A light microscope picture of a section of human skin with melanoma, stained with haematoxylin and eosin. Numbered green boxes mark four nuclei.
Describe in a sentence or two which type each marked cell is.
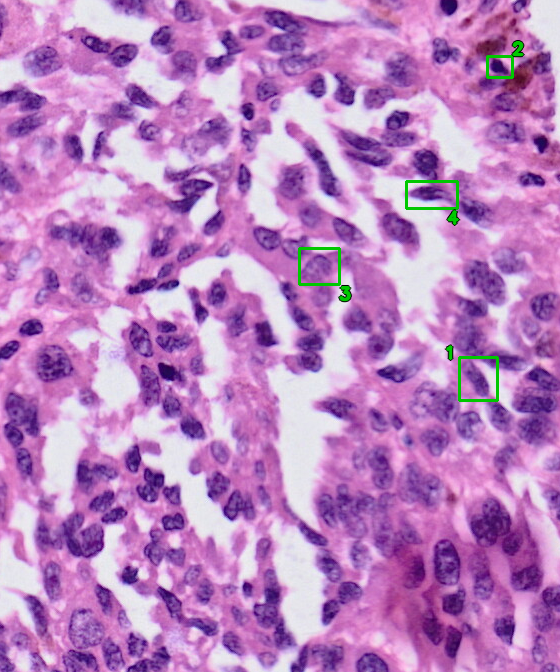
Cells 1, 3 and 4 are melanoma cells. Cell 2 is a lymphocyte.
